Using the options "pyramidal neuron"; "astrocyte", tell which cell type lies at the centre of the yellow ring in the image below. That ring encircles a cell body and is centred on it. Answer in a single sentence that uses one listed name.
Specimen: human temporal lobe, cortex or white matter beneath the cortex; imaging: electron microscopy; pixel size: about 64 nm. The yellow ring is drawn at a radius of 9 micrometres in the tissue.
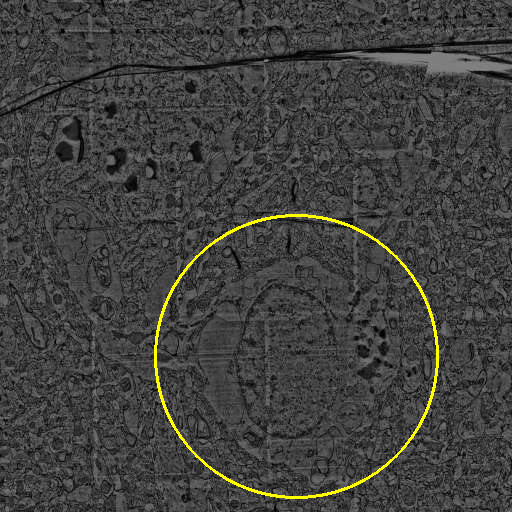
At the centre of the yellow ring lies the body of an astrocyte.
